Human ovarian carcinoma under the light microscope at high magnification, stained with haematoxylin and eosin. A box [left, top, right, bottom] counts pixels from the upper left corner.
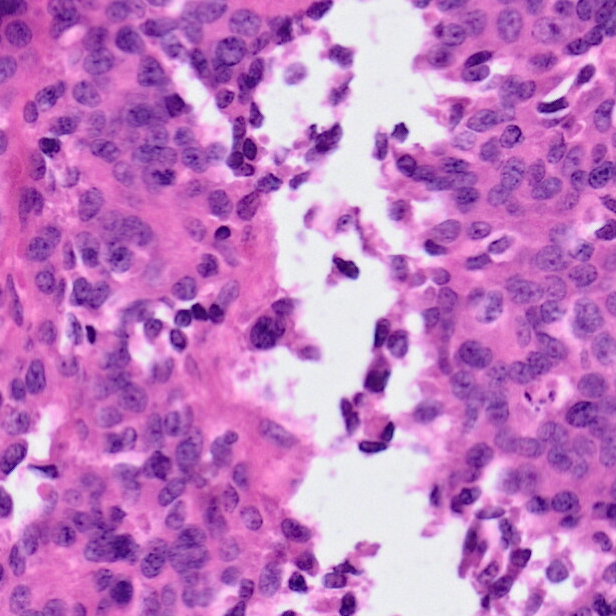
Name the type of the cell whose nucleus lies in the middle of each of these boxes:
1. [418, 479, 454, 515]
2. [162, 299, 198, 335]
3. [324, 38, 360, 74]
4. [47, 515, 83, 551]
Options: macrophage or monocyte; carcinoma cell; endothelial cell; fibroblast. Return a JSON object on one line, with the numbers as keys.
{"1": "macrophage or monocyte", "2": "carcinoma cell", "3": "carcinoma cell", "4": "carcinoma cell"}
